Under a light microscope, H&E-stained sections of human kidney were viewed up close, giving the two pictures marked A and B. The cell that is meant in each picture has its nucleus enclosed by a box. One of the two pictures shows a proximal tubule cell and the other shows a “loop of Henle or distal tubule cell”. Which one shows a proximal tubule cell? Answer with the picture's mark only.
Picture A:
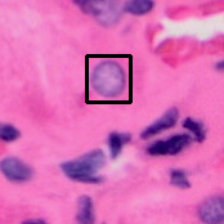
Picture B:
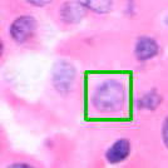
A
